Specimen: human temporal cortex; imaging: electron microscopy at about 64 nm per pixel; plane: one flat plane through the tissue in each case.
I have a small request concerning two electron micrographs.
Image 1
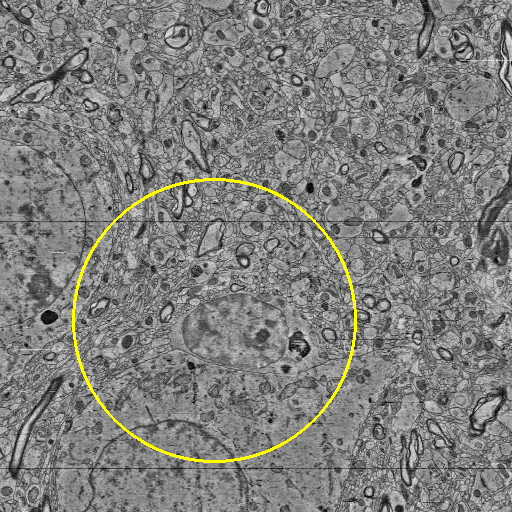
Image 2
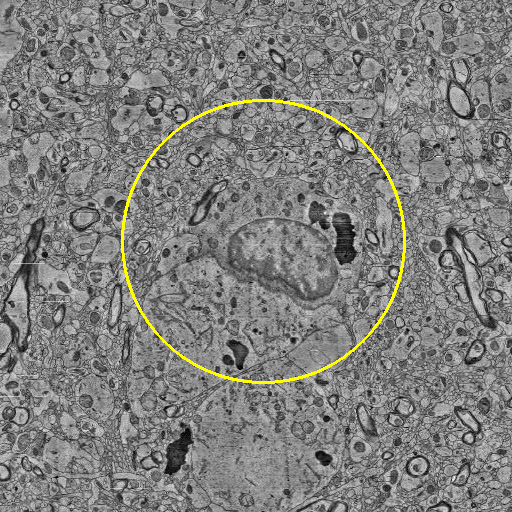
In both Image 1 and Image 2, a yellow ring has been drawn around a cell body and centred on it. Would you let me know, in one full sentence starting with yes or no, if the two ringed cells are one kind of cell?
Yes, the cells ringed in Image 1 and Image 2 are one kind of cell.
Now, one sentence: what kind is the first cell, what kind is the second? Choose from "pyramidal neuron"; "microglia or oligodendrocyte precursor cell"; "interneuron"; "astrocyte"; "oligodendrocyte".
Each of the two pictures has an oligodendrocyte at the ring centre.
